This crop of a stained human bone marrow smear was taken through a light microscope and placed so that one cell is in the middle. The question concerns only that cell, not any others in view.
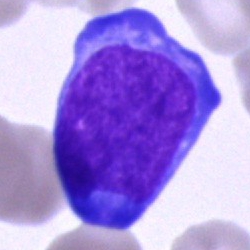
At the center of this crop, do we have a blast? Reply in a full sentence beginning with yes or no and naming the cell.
Yes, the cell centred in this crop is a blast.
